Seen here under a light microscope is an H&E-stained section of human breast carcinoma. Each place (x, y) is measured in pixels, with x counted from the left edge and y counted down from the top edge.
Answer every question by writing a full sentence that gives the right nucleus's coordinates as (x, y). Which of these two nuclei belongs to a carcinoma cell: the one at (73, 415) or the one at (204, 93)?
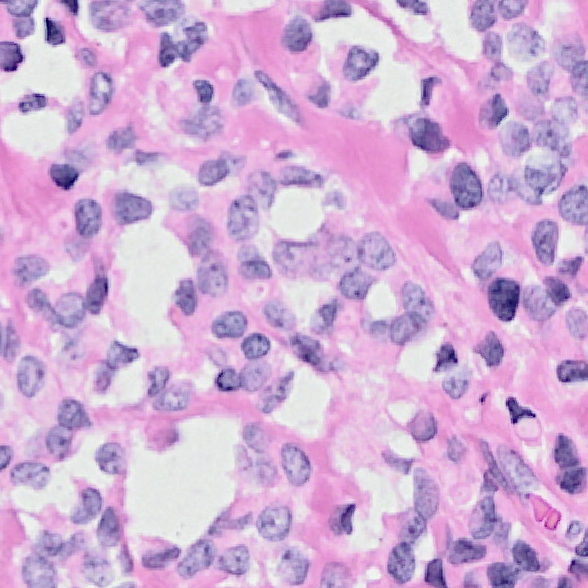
Identified as belonging to a carcinoma cell is the nucleus at (73, 415).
